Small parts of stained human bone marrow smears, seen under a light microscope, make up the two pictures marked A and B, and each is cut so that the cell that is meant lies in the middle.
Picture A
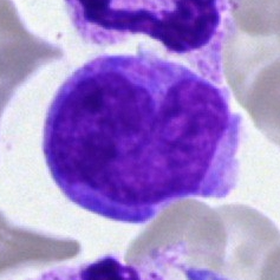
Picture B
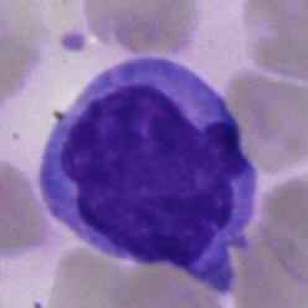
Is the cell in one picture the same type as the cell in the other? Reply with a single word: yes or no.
yes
